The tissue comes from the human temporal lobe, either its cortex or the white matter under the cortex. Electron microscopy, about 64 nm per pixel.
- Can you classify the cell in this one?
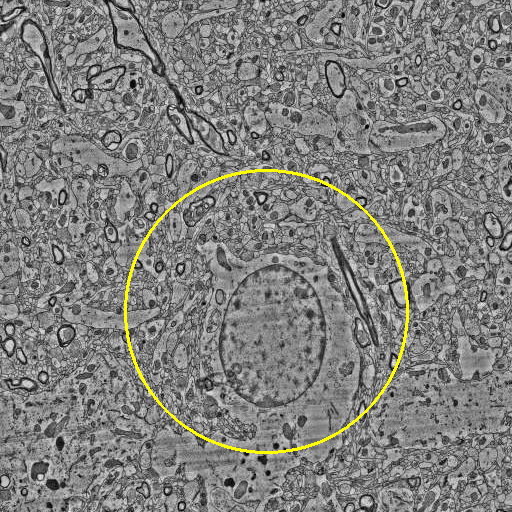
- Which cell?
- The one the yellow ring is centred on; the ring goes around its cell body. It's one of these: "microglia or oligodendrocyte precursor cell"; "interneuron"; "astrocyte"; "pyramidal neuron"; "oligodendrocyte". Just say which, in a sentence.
The cell body in the ring belongs to an astrocyte.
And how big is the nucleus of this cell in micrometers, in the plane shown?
In this plane, roughly 9 by 7 micrometres.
